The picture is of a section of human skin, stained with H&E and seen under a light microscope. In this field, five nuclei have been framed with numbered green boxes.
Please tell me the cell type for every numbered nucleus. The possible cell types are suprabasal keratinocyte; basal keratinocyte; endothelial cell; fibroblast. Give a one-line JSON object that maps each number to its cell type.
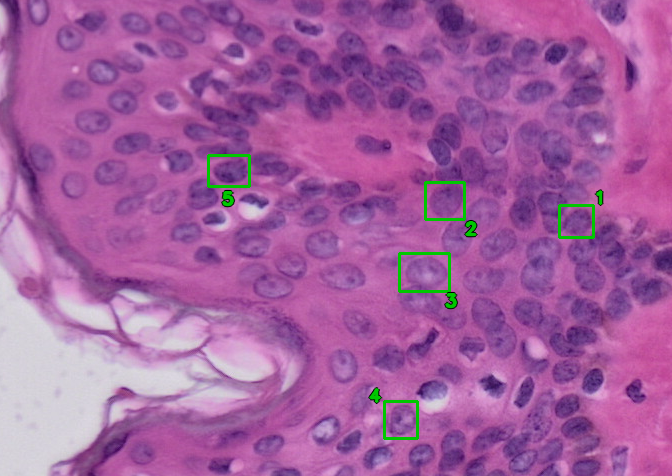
{"1": "basal keratinocyte", "2": "basal keratinocyte", "3": "suprabasal keratinocyte", "4": "suprabasal keratinocyte", "5": "basal keratinocyte"}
